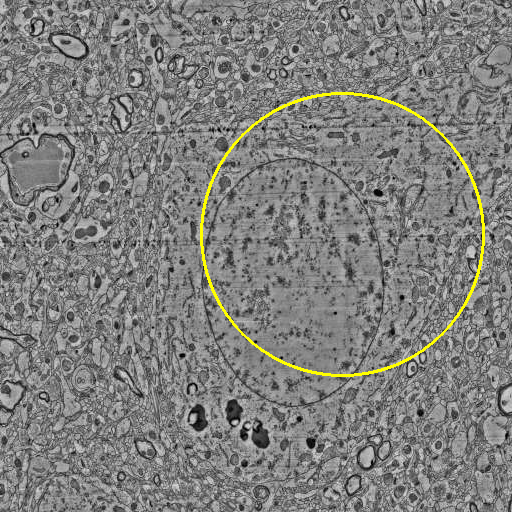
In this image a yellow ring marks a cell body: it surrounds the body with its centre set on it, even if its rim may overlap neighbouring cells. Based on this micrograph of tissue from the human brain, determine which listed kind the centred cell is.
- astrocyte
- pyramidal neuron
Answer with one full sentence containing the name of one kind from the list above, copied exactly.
It is a pyramidal neuron whose body the yellow ring encloses at its centre.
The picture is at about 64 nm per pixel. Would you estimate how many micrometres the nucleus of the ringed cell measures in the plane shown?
The ringed cell's nucleus is about 16 micrometres long and 12 micrometres wide in this plane.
